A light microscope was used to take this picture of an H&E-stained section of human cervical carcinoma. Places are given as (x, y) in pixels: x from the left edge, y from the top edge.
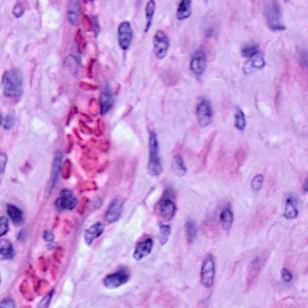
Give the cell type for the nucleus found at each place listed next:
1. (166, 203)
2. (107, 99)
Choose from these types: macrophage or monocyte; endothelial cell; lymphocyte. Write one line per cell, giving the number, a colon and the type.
1: macrophage or monocyte
2: endothelial cell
